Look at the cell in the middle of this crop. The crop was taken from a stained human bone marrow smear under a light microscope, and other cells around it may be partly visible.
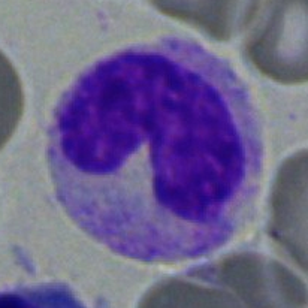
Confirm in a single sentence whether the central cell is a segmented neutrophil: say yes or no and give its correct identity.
No, instead of a segmented neutrophil, the middle cell is a band neutrophil.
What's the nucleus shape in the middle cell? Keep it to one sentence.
Have a look at the nucleus, which is one compact mass, round, oval or kidney-shaped.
